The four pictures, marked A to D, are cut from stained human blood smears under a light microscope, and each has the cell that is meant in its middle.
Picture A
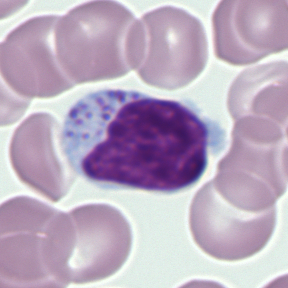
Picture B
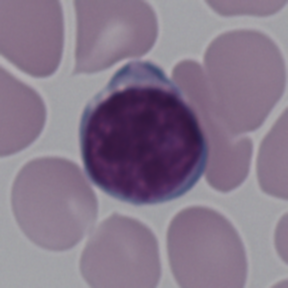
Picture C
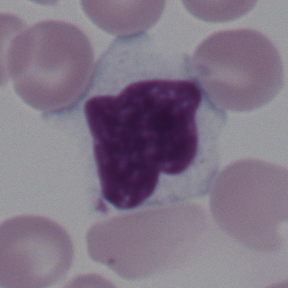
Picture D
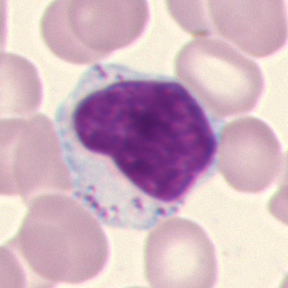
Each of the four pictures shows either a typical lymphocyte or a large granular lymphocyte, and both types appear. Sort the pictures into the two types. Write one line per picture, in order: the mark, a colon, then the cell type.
A: large granular lymphocyte
B: typical lymphocyte
C: typical lymphocyte
D: large granular lymphocyte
